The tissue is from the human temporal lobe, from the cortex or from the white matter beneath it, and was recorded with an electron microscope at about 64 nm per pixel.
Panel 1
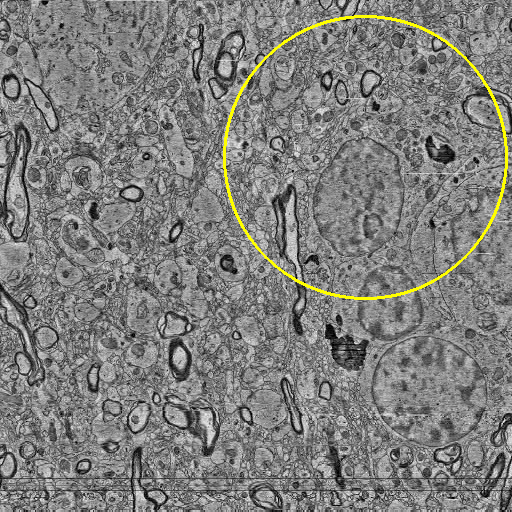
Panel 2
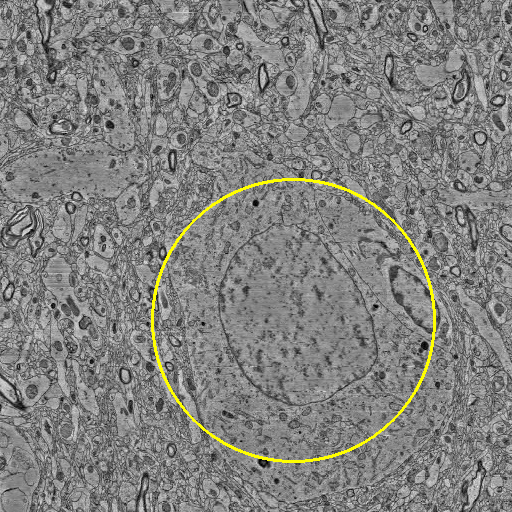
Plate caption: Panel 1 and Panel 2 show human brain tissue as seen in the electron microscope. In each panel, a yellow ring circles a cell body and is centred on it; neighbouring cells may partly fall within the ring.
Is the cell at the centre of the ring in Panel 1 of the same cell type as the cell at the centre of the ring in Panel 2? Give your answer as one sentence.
No, the two cells are of two types.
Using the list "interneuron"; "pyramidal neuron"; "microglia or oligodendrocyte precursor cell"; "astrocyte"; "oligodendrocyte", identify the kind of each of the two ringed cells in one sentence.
The first is an oligodendrocyte and the second is a pyramidal neuron.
